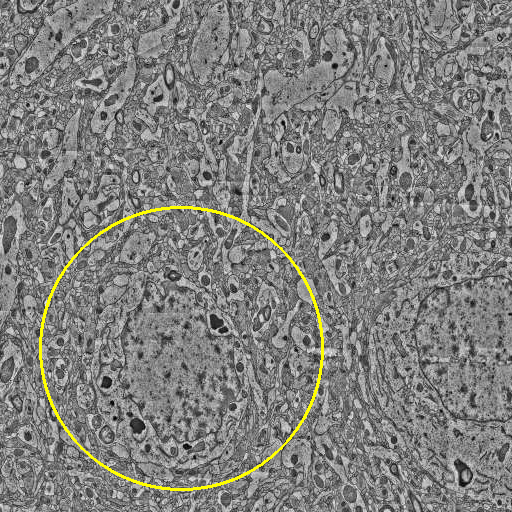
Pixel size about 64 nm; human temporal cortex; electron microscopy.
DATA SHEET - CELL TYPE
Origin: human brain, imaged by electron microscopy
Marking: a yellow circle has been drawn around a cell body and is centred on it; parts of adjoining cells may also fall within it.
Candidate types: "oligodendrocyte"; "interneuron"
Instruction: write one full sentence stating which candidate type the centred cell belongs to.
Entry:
The cell body at the centre of the yellow ring in this micrograph belongs to an interneuron.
